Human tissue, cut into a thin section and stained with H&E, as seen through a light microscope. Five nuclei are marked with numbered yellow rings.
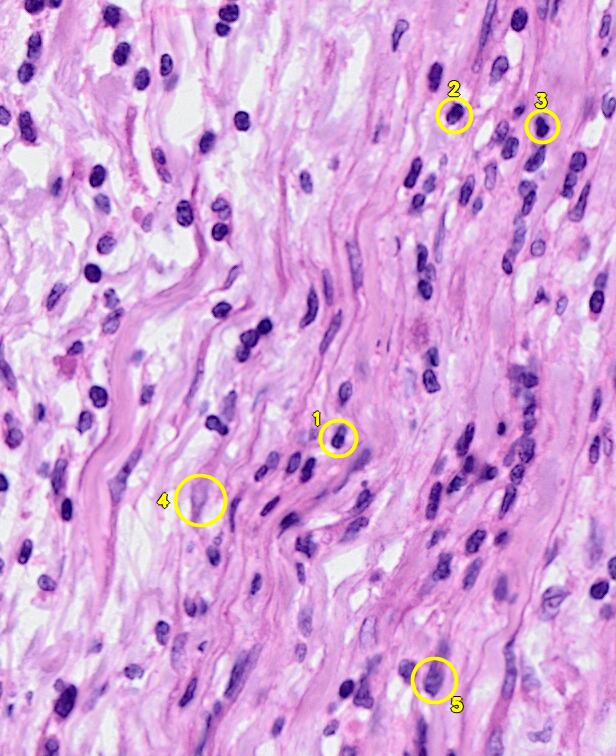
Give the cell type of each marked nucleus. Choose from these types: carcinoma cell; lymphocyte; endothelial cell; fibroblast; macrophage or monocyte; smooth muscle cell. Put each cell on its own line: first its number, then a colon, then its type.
1: lymphocyte
2: lymphocyte
3: lymphocyte
4: fibroblast
5: macrophage or monocyte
